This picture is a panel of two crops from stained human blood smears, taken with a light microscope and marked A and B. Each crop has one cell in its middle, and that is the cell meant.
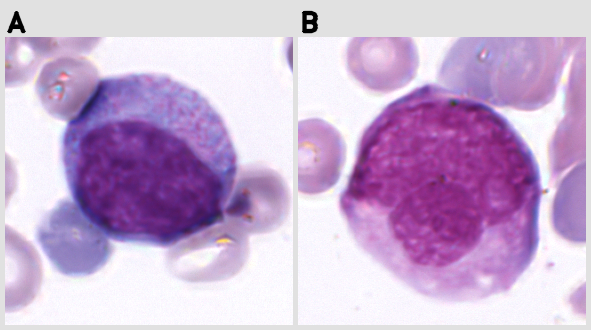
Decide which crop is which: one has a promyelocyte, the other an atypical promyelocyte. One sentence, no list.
Crop A is a promyelocyte, while an atypical promyelocyte is the cell in crop B.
